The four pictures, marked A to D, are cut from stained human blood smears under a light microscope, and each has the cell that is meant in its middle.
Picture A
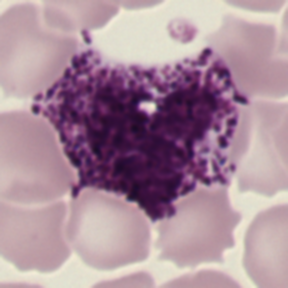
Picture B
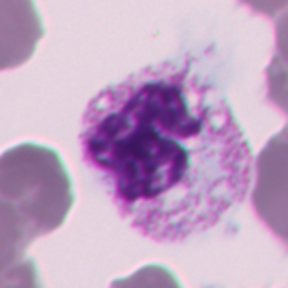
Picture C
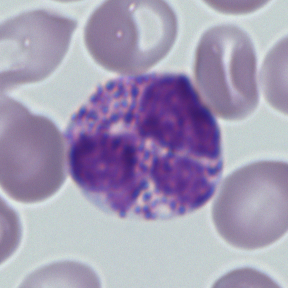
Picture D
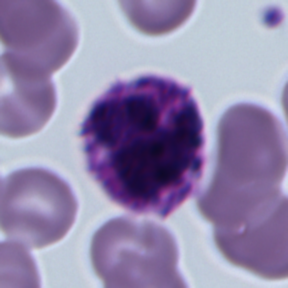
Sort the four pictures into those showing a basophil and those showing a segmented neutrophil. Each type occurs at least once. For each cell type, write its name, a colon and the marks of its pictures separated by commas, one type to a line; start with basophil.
basophil: A, C, D
segmented neutrophil: B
